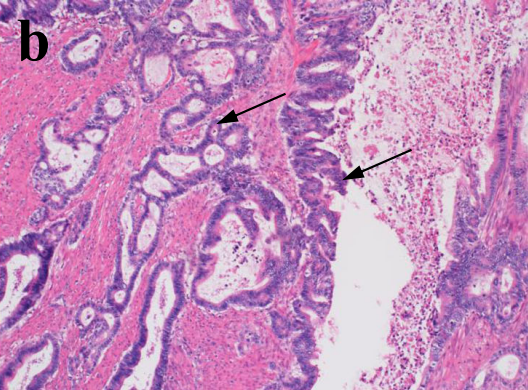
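Irregular malignant glands lie scattered in a pink fibrous stroma of the wall. The glands are lined by tall columnar cells with elongated, crowded, dark purple nuclei that are stacked in several layers. Several gland lumens are wide and contain pale debris and scattered cells. The glands vary in shape and size and some branch or bud into the surrounding stroma.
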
